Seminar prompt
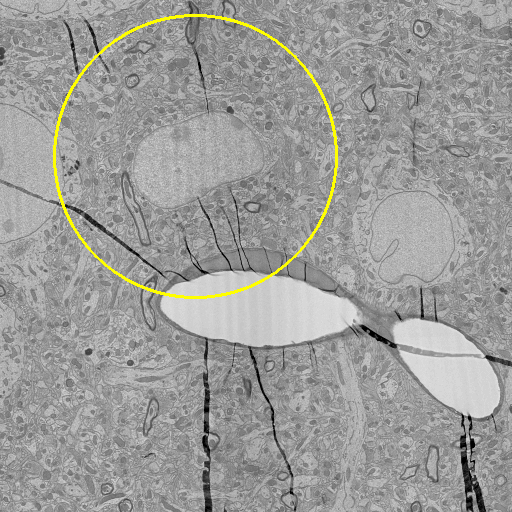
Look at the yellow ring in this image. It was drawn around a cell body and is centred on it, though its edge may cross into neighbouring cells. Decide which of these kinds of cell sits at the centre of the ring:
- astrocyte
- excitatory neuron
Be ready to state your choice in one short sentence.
The kind of cell at the ring's centre is an astrocyte.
